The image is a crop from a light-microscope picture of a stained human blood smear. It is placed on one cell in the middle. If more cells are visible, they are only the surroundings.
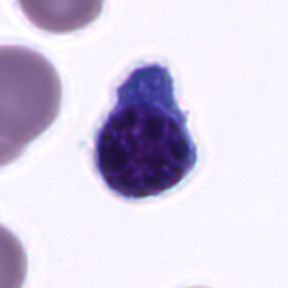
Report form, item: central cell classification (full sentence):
Present in the middle of the crop is a plasma cell.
